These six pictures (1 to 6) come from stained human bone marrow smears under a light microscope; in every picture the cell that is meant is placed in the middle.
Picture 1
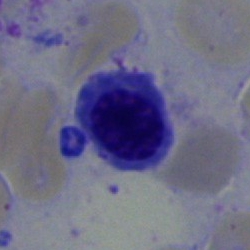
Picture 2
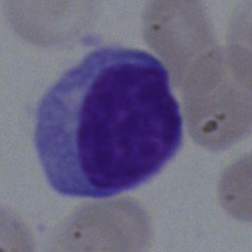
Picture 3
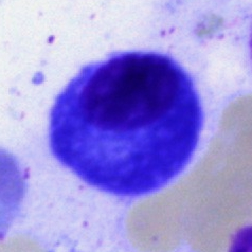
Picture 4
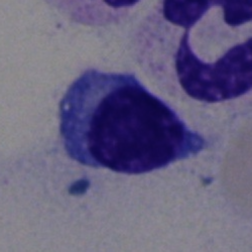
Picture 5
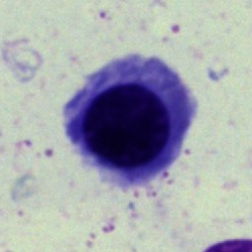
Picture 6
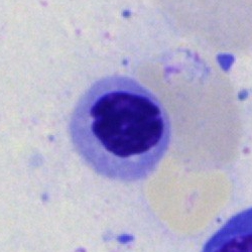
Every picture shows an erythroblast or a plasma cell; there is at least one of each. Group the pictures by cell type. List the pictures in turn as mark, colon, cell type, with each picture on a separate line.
1: erythroblast
2: plasma cell
3: plasma cell
4: plasma cell
5: erythroblast
6: erythroblast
